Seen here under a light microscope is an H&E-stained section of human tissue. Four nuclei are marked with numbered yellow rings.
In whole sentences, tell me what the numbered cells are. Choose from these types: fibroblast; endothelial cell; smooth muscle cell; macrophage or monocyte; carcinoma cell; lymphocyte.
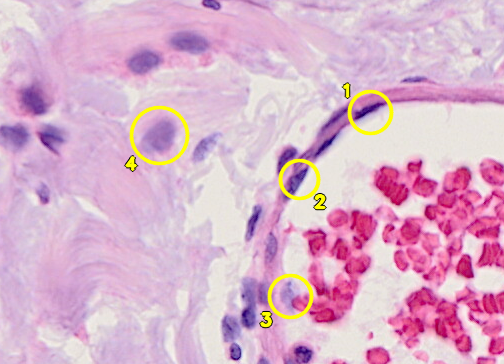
Cells 1, 2 and 3 are endothelial cells. Cell 4 is a fibroblast.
